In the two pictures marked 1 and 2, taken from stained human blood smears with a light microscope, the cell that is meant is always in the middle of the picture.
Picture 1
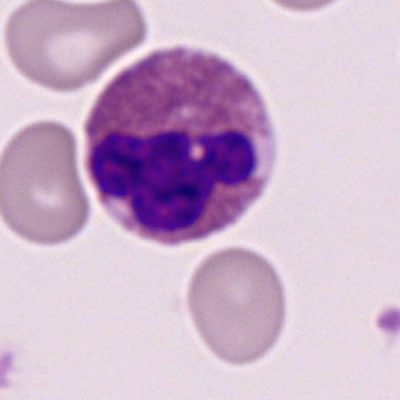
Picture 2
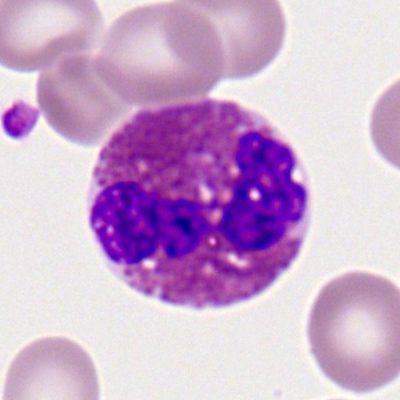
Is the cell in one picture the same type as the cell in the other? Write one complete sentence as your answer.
Yes, the two pictures both show eosinophils.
